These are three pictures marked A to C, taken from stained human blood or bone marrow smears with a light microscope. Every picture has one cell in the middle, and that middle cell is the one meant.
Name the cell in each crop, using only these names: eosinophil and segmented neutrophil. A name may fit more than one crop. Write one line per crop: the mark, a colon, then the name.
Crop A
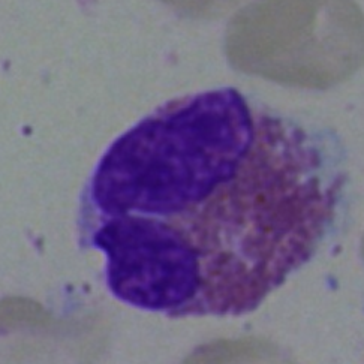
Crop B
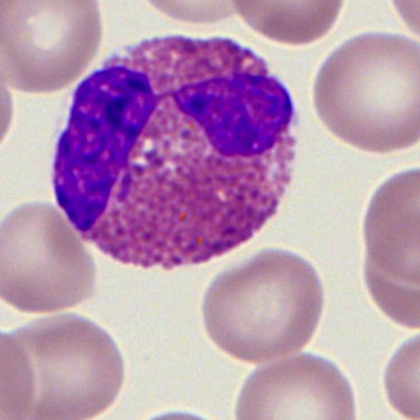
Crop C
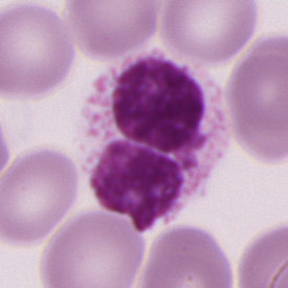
A: eosinophil
B: eosinophil
C: segmented neutrophil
